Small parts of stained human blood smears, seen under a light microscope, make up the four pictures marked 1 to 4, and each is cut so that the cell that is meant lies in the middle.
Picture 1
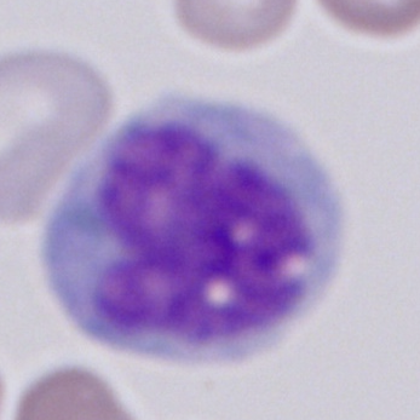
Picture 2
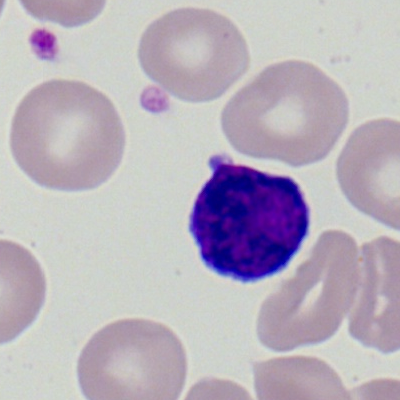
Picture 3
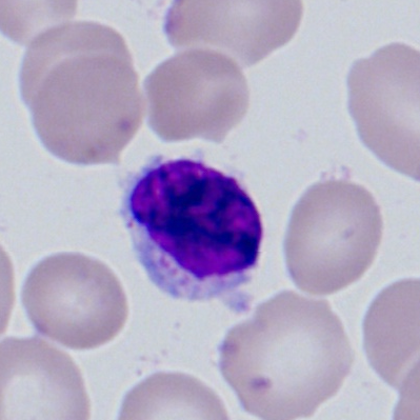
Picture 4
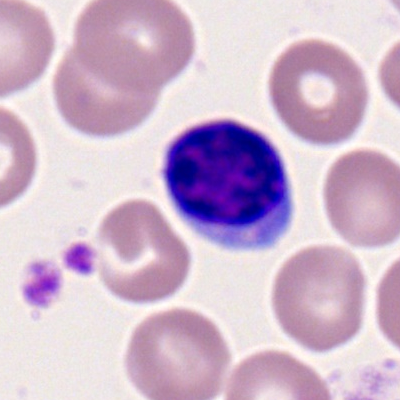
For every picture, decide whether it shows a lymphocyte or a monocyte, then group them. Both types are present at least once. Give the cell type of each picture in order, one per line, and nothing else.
monocyte
lymphocyte
lymphocyte
lymphocyte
